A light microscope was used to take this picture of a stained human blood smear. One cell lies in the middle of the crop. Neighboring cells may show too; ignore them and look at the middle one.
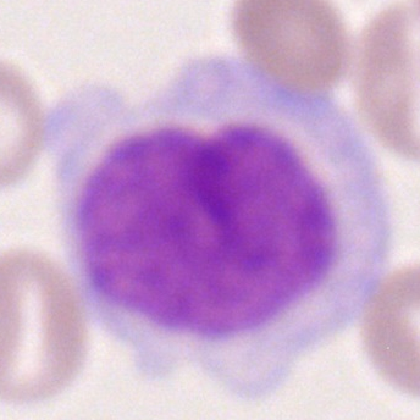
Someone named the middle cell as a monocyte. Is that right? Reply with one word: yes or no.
yes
